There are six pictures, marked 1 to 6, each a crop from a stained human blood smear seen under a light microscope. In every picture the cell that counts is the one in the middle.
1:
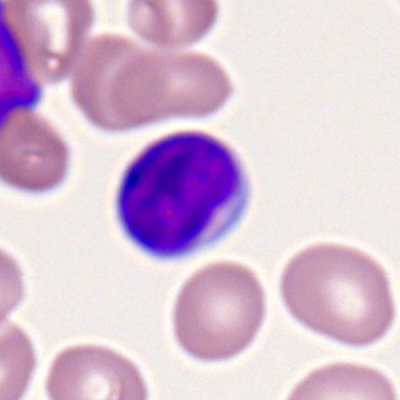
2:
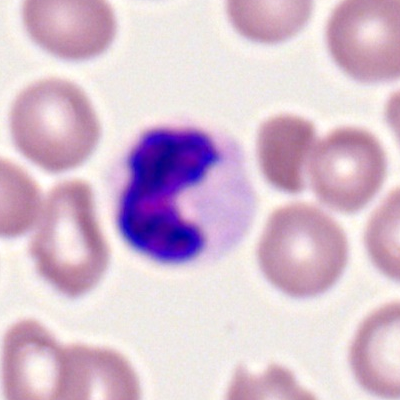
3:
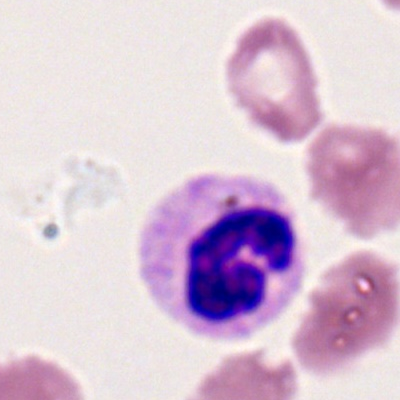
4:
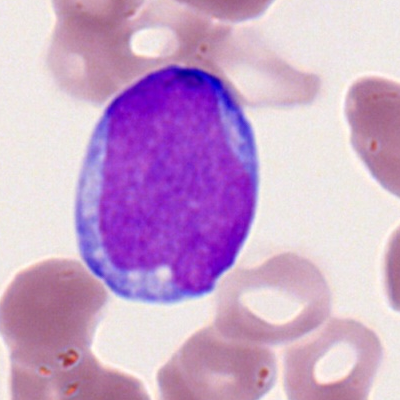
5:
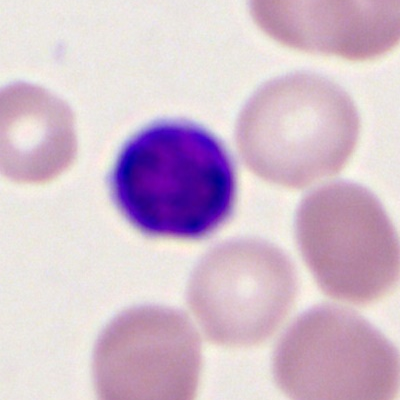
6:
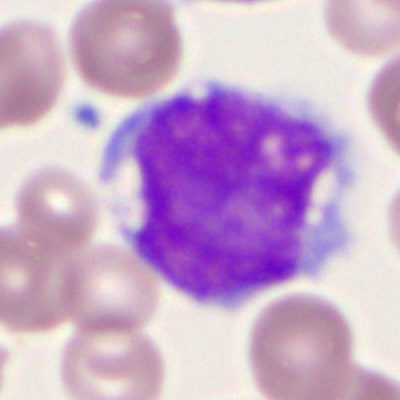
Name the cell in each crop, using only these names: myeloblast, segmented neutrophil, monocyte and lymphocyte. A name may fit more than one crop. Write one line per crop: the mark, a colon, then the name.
1: lymphocyte
2: segmented neutrophil
3: segmented neutrophil
4: myeloblast
5: lymphocyte
6: monocyte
